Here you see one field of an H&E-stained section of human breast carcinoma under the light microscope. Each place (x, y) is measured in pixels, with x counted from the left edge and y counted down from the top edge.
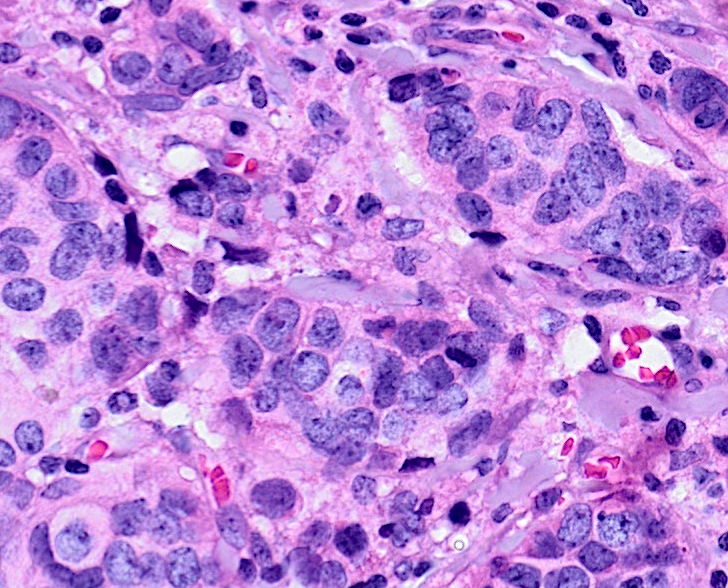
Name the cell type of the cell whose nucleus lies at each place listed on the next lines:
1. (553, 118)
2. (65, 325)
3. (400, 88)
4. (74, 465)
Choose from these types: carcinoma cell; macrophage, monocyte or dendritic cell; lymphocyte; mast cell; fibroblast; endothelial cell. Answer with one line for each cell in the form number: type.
1: carcinoma cell
2: carcinoma cell
3: carcinoma cell
4: lymphocyte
